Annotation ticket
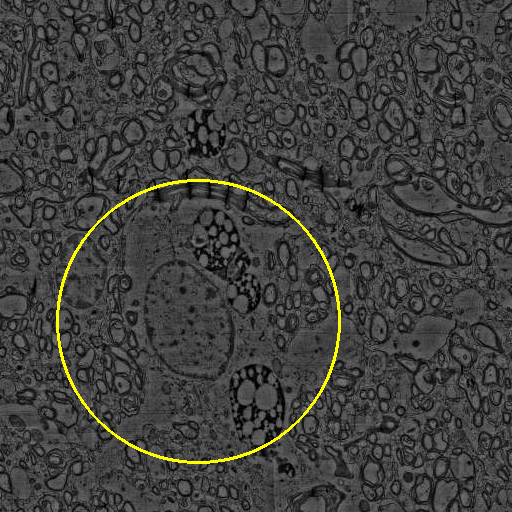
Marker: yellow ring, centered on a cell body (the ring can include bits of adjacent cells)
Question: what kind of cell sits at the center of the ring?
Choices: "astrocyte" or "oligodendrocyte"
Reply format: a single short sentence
The ring is centered on an astrocyte.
